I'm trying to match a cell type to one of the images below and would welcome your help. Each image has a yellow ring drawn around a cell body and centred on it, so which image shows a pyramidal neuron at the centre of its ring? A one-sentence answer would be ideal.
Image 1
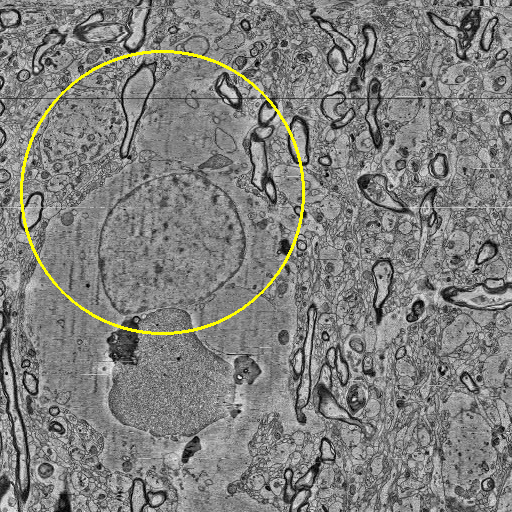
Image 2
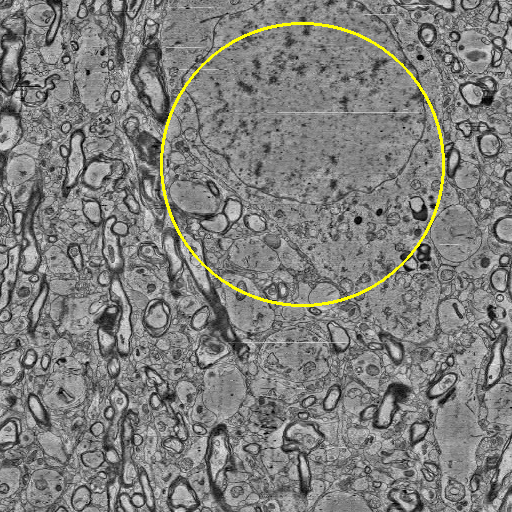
Image 2 shows it at the centre of the ring.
